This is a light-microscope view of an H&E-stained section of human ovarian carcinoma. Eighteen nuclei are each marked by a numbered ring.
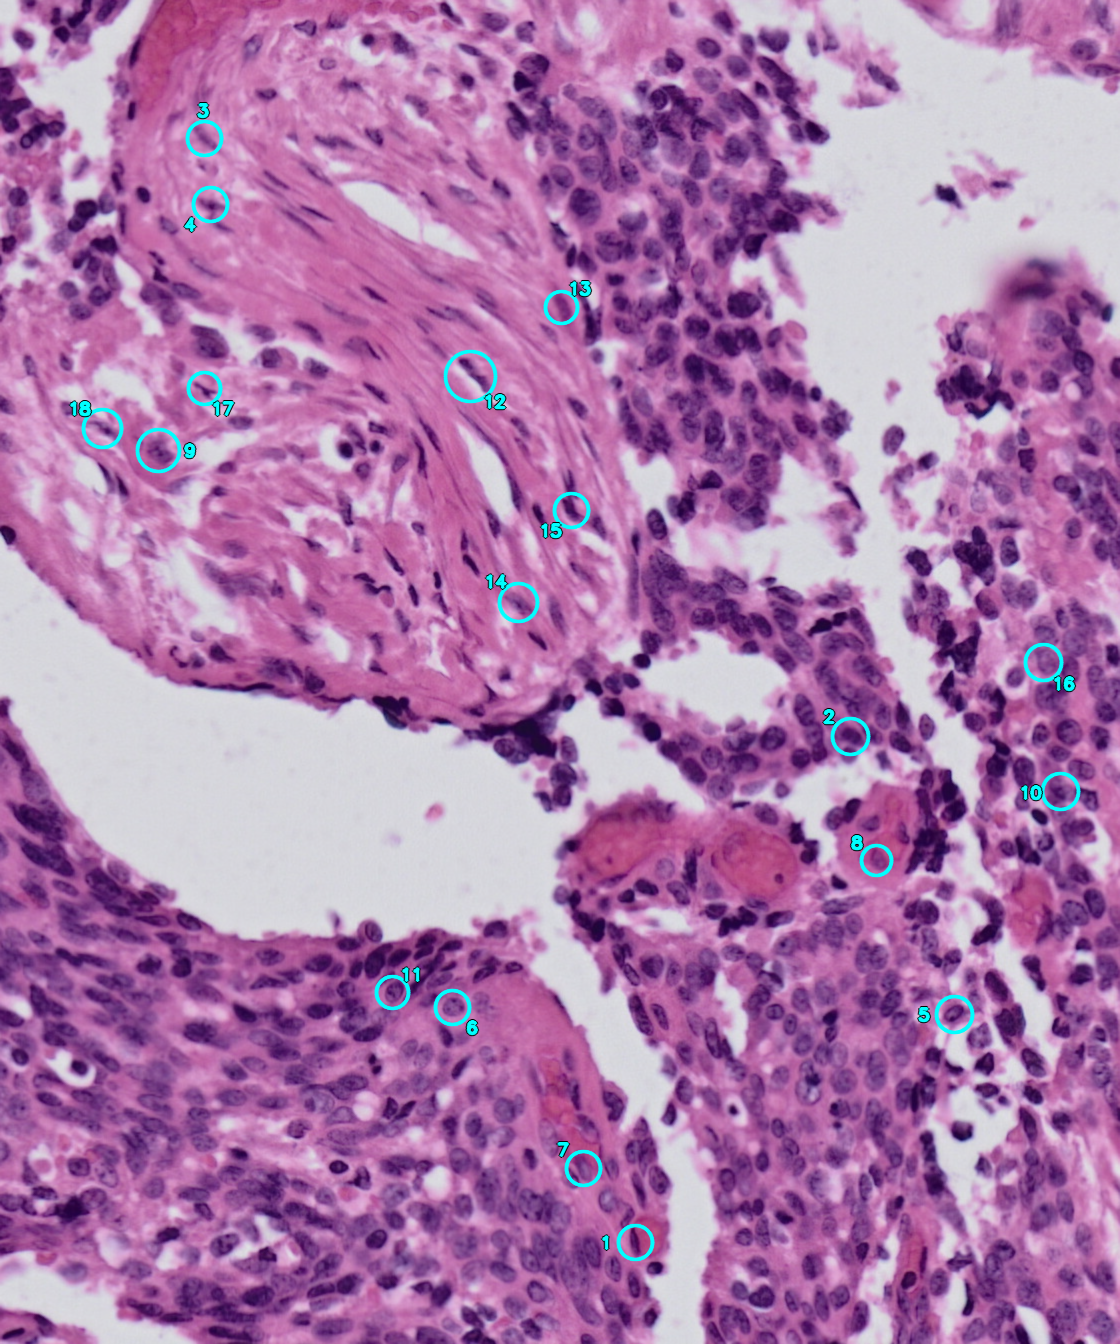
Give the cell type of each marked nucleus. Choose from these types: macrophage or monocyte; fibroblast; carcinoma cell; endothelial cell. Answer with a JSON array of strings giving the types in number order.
["endothelial cell", "carcinoma cell", "fibroblast", "fibroblast", "macrophage or monocyte", "macrophage or monocyte", "endothelial cell", "endothelial cell", "fibroblast", "carcinoma cell", "macrophage or monocyte", "fibroblast", "fibroblast", "fibroblast", "fibroblast", "carcinoma cell", "fibroblast", "fibroblast"]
